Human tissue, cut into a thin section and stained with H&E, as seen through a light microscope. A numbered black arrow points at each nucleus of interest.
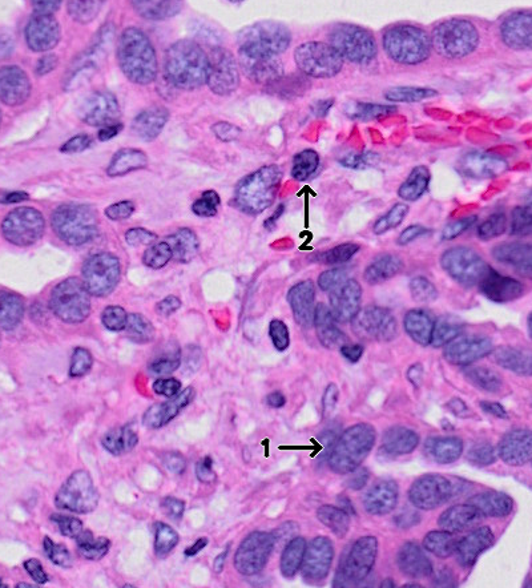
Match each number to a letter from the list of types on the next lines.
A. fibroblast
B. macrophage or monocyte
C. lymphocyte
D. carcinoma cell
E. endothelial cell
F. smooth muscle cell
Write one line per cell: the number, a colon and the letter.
1: D
2: C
